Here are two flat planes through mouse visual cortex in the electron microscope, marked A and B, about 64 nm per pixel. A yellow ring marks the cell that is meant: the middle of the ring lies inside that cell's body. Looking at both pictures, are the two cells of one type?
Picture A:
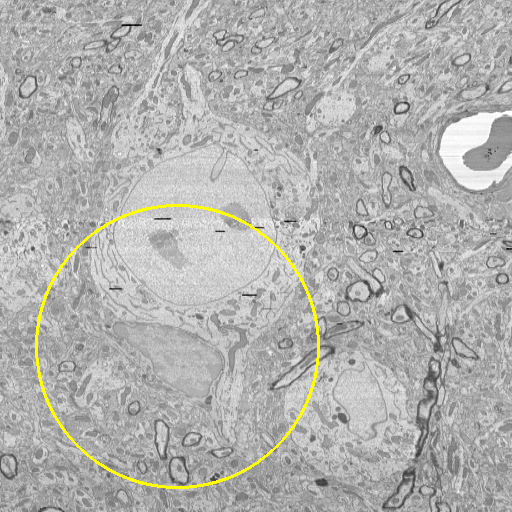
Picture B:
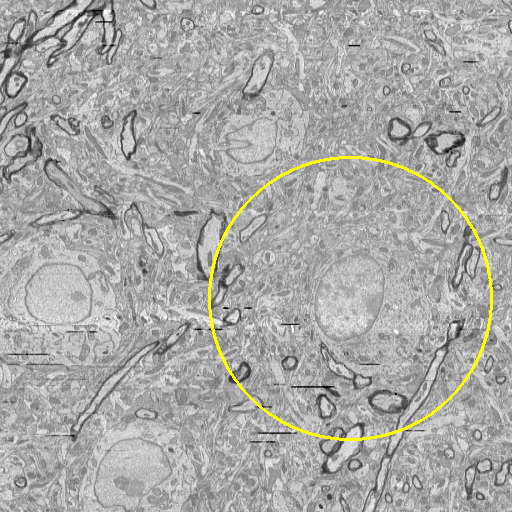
No; the cell in picture A is a microglial cell, while the one in picture B is an oligodendrocyte.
